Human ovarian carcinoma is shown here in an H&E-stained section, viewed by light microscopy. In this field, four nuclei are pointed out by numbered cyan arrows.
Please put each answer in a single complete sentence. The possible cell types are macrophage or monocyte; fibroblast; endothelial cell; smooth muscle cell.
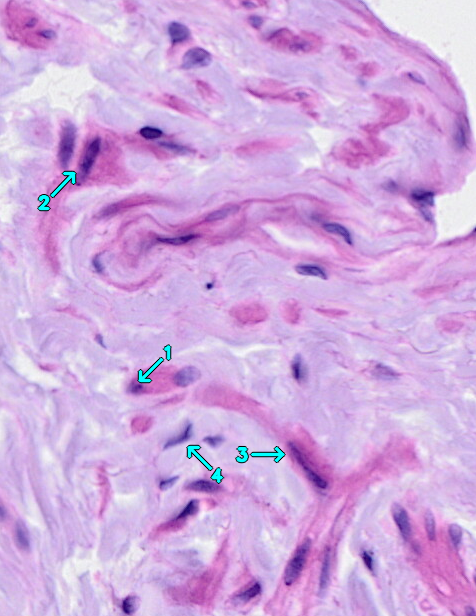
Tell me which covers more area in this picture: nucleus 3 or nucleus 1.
Of the two, number 3 is bigger and takes up about 2 times the area of number 1.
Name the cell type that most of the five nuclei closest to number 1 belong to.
Of the five nuclei nearest to number 1, most belong to fibroblasts.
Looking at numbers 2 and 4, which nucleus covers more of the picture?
Of the two, number 2 is bigger and takes up about 2 times the area of number 4.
